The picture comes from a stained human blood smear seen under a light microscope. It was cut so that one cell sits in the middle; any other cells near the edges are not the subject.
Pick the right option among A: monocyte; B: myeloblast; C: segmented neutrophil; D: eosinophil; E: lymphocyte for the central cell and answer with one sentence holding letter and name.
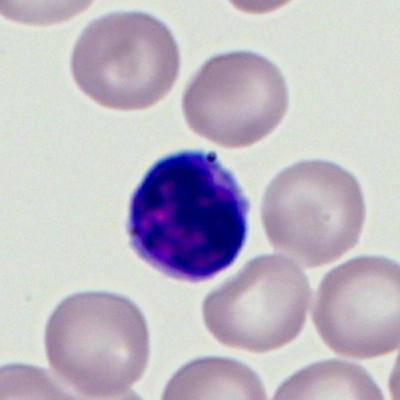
In this crop the middle cell is a lymphocyte, so option E is the correct answer.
